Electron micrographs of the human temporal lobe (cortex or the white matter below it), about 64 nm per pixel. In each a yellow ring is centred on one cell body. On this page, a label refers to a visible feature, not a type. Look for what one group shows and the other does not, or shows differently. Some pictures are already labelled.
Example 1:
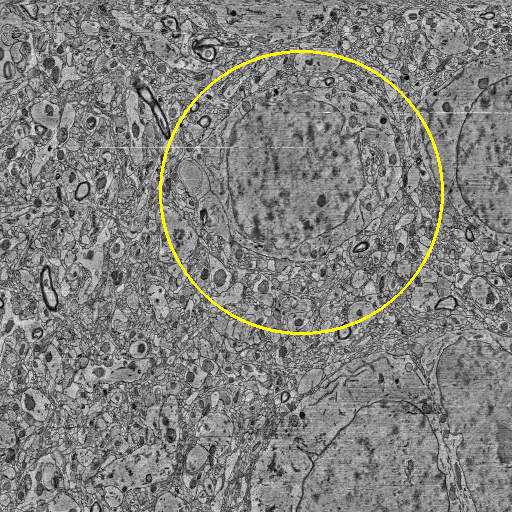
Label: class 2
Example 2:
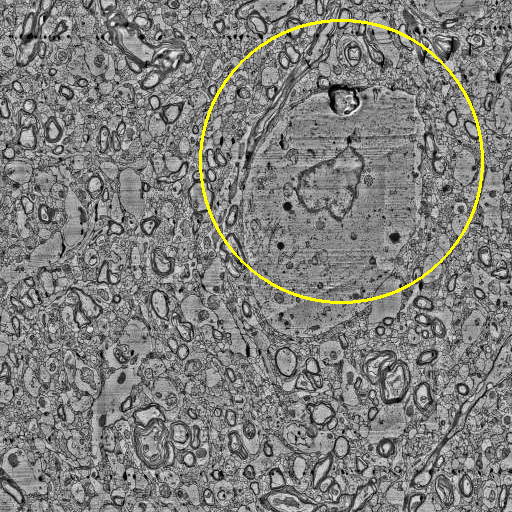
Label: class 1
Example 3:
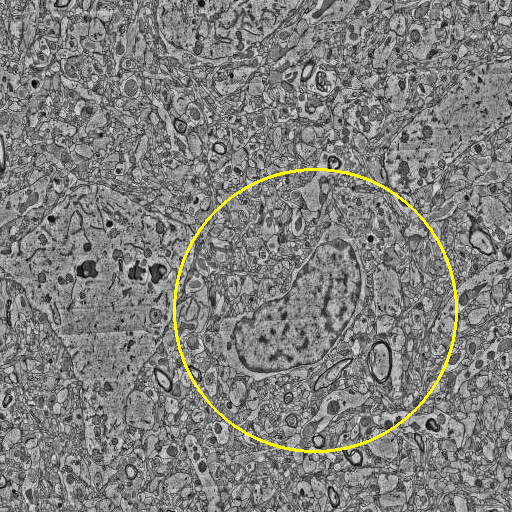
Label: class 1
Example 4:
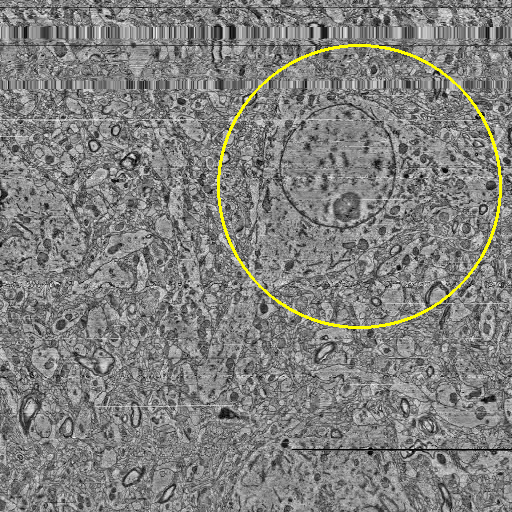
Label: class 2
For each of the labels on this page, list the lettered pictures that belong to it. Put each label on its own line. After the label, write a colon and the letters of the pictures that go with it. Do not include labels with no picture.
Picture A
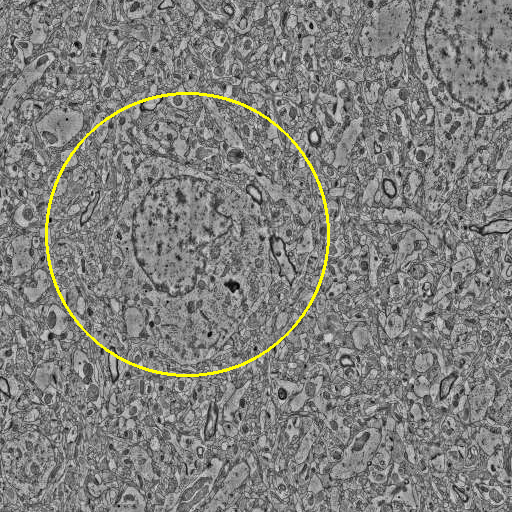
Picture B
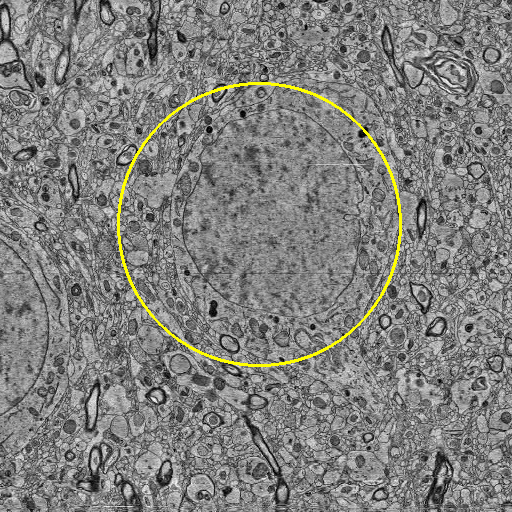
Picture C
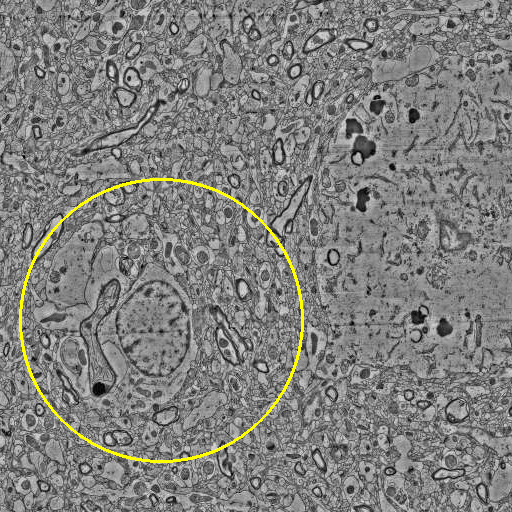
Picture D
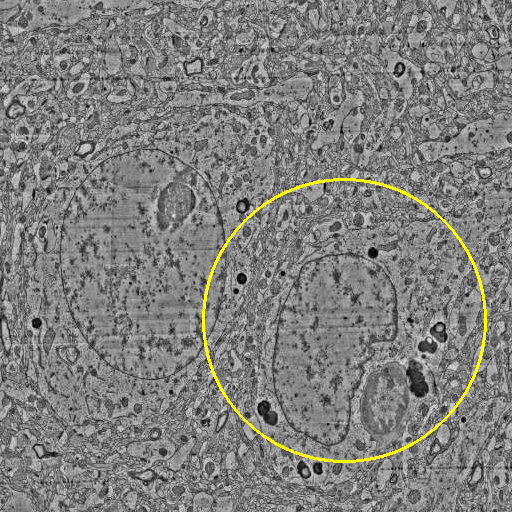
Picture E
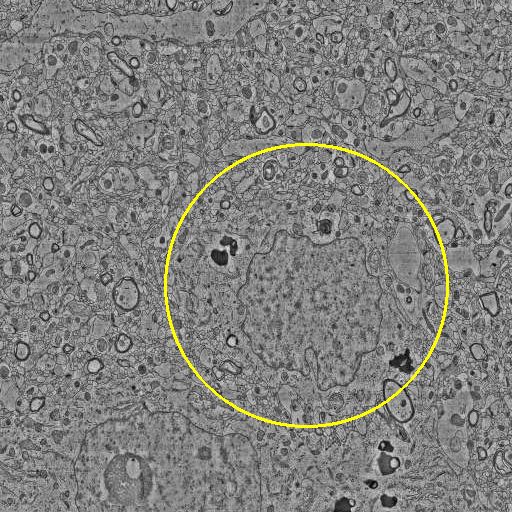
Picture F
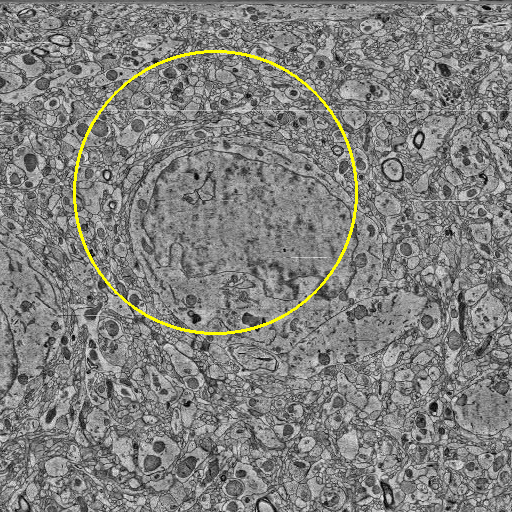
class 2: B, C
class 1: A, D, E, F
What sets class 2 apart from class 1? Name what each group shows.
class 2: smooth nuclear envelopes without deep folds; class 1: deeply folded or indented nuclear envelopes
